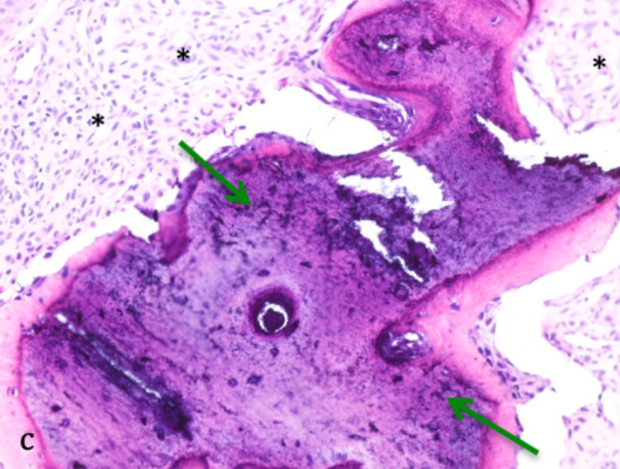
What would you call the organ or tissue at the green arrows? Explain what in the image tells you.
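The arrows point into a large, dense, purple-blue matrix mass. The mass has a bright pink rim and scattered small dark lacuna-like cells. A small round canal lies within the mass.
Bone.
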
